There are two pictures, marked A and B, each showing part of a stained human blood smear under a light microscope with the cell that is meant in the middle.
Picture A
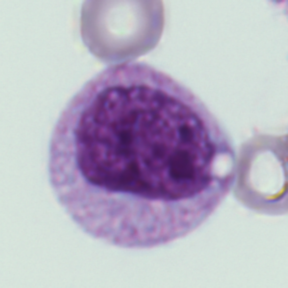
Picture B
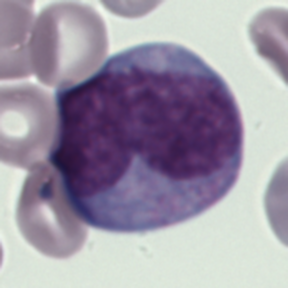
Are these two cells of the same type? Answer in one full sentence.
No, the types are not the same, since picture A shows a myelocyte and picture B a promyelocyte.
